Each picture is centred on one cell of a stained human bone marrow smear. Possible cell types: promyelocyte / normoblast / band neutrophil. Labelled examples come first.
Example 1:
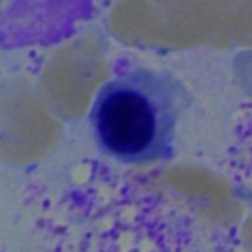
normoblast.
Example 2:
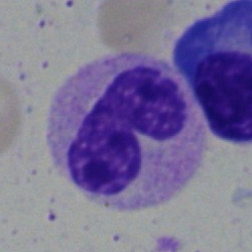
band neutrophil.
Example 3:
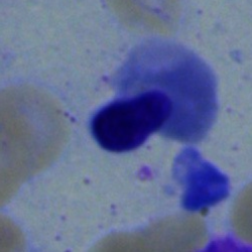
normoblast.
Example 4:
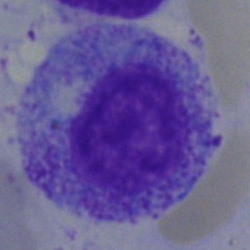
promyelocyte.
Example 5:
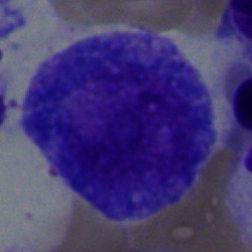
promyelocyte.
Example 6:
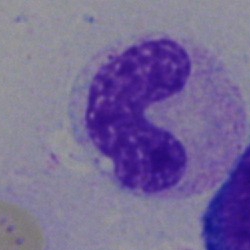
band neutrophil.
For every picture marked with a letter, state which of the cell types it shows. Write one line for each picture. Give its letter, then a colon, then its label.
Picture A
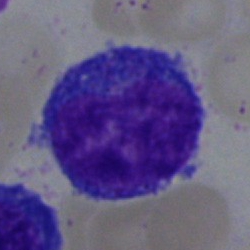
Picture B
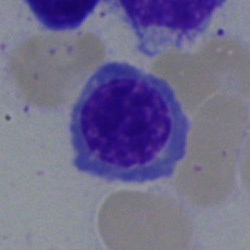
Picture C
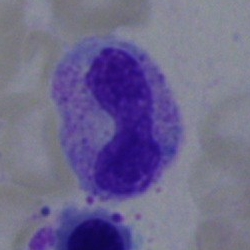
A: promyelocyte.
B: normoblast.
C: band neutrophil.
